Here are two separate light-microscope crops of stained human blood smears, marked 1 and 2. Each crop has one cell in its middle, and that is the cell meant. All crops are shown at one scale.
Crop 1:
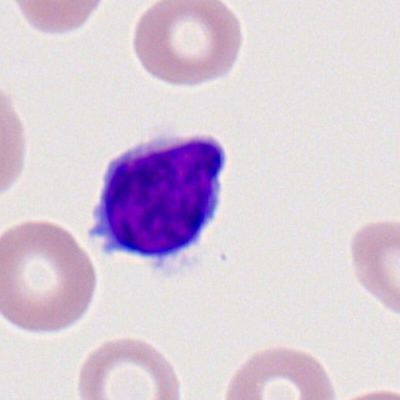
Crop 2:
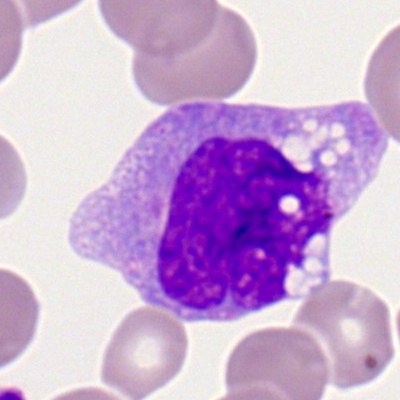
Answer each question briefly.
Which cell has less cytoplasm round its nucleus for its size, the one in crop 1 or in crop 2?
1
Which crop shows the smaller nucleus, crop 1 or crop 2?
1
